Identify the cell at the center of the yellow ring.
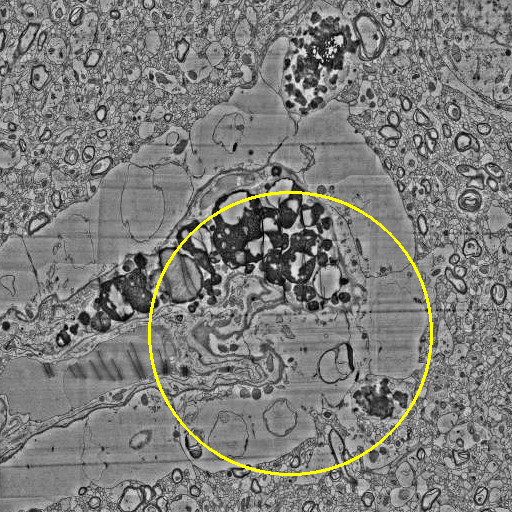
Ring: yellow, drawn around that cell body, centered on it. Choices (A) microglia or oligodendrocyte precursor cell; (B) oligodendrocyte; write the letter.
B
